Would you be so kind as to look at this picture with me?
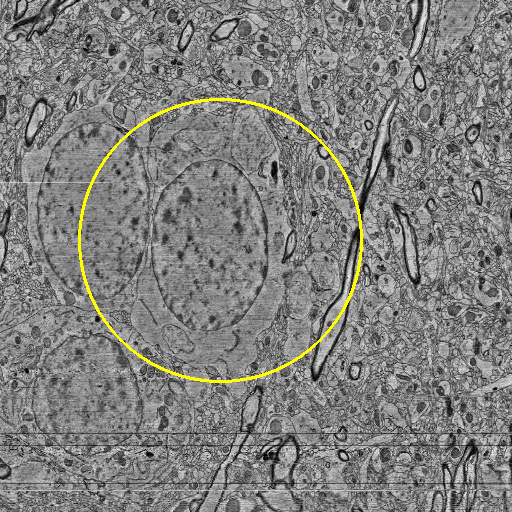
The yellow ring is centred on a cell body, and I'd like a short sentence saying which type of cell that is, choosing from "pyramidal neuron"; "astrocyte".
The cell body in the ring belongs to an astrocyte.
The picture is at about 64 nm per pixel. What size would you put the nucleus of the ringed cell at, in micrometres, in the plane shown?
About 11 micrometres by about 8 micrometres in this plane.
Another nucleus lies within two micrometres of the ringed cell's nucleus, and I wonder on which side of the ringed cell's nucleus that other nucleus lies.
The other nucleus is situated to the upper left of it.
